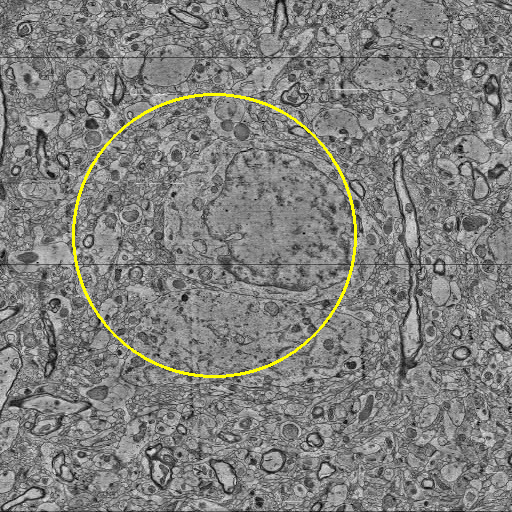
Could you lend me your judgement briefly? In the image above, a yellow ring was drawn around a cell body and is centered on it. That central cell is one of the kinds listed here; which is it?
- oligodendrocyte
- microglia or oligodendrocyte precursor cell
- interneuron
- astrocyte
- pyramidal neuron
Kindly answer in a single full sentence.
Going by the list, an interneuron is the kind at the ring's center in the picture.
